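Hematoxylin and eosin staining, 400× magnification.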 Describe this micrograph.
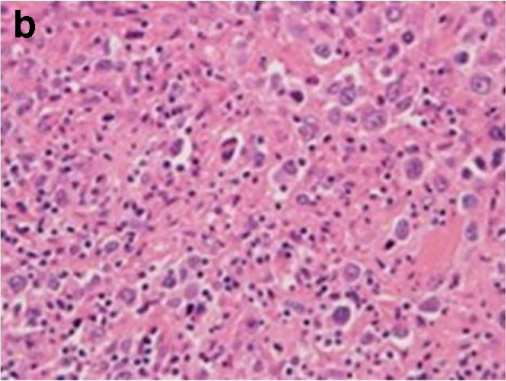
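This is a lesion made of scattered atypical large round cells set among many small lymphocytes. The small lymphocytes have dark, round, compact nuclei with scant cytoplasm and fill the spaces between the large cells. The large cells lie singly or in loose groups within this mixed background, on a pink stroma.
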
